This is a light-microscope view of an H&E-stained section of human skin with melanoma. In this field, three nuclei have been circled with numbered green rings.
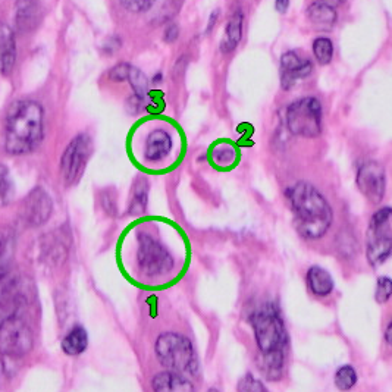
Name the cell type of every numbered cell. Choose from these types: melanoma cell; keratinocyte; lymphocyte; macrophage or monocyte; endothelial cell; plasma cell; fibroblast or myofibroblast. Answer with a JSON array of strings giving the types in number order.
["melanoma cell", "macrophage or monocyte", "lymphocyte"]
